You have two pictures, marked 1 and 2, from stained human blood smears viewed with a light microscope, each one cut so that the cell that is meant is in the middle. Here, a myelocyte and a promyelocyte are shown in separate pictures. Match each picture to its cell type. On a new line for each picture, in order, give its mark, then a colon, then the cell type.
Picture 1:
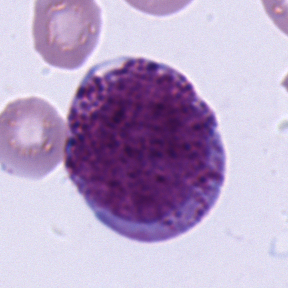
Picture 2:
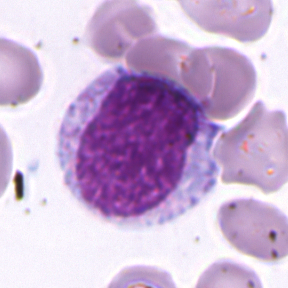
1: promyelocyte
2: myelocyte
